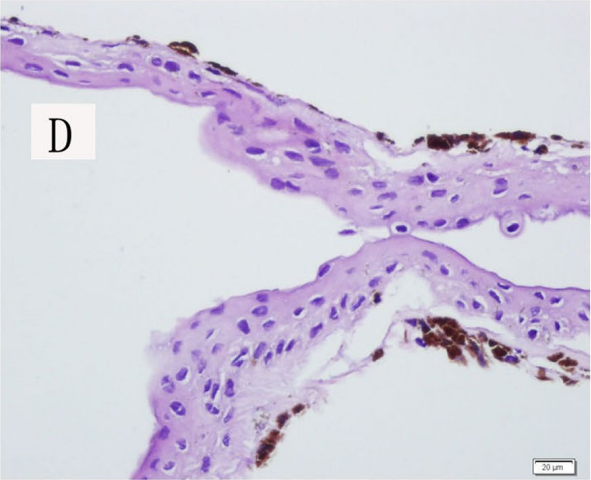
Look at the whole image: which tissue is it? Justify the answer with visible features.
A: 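Several layers of cells with purple nuclei are stacked in thin sheets. The nuclei toward the surfaces are flattened and elongated. No pink acellular keratin layer covers the surface.
Answer: non-keratinised stratified squamous epithelium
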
